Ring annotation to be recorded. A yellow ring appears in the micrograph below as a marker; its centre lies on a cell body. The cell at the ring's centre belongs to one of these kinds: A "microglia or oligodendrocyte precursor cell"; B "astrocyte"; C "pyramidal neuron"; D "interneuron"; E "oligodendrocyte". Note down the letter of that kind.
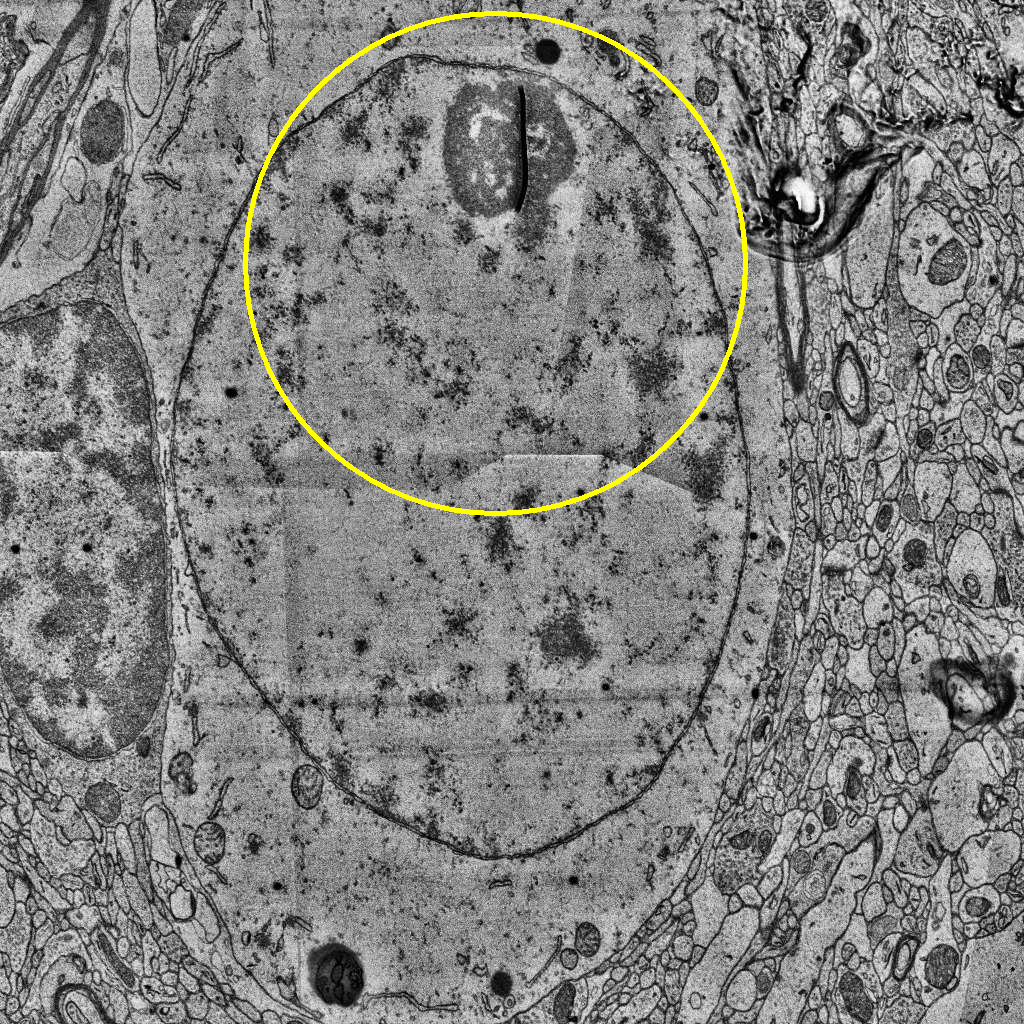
C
